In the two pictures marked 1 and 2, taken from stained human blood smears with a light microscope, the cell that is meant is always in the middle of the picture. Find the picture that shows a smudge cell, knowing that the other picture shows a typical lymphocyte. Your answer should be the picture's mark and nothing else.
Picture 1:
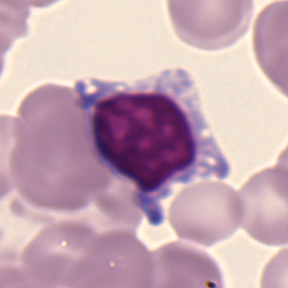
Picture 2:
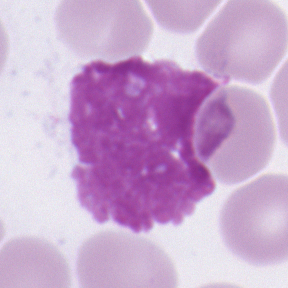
2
